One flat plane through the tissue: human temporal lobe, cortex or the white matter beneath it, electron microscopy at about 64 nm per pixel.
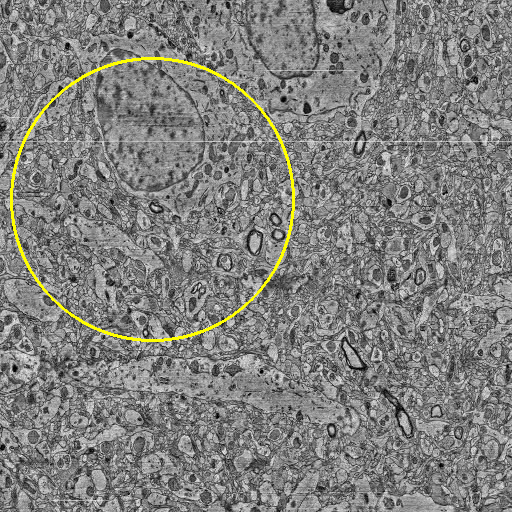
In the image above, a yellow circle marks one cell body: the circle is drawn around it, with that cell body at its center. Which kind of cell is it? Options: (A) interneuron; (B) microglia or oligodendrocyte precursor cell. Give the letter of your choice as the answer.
B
